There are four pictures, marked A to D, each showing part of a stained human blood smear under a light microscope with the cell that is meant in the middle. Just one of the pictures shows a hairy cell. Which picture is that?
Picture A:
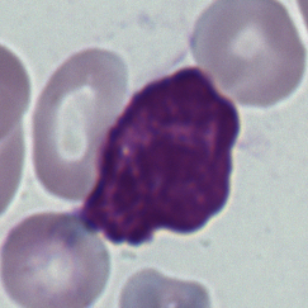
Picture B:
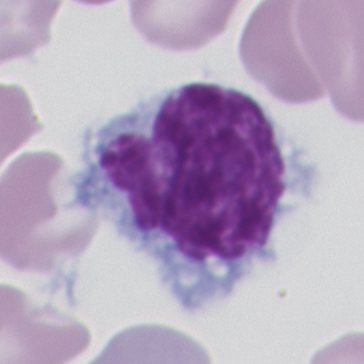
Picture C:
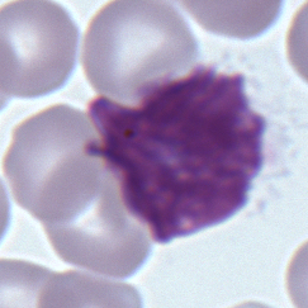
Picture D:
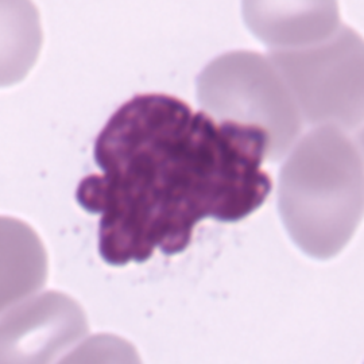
B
